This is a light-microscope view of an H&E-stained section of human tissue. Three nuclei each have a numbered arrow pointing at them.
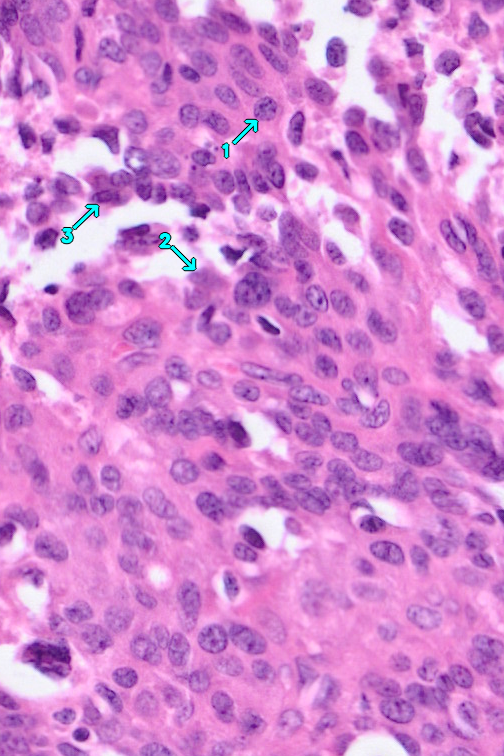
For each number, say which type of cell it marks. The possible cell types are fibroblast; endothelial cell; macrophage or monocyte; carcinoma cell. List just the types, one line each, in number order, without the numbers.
macrophage or monocyte
carcinoma cell
carcinoma cell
